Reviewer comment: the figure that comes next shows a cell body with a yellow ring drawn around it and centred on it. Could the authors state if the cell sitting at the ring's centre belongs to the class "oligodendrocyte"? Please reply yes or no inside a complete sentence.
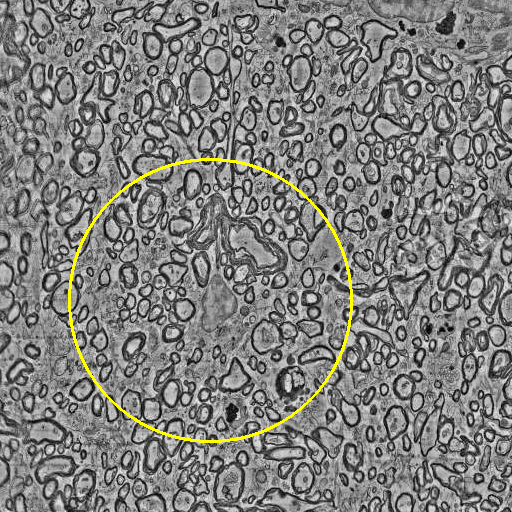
Yes, in the figure, the cell at the ring's centre belongs to that class.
